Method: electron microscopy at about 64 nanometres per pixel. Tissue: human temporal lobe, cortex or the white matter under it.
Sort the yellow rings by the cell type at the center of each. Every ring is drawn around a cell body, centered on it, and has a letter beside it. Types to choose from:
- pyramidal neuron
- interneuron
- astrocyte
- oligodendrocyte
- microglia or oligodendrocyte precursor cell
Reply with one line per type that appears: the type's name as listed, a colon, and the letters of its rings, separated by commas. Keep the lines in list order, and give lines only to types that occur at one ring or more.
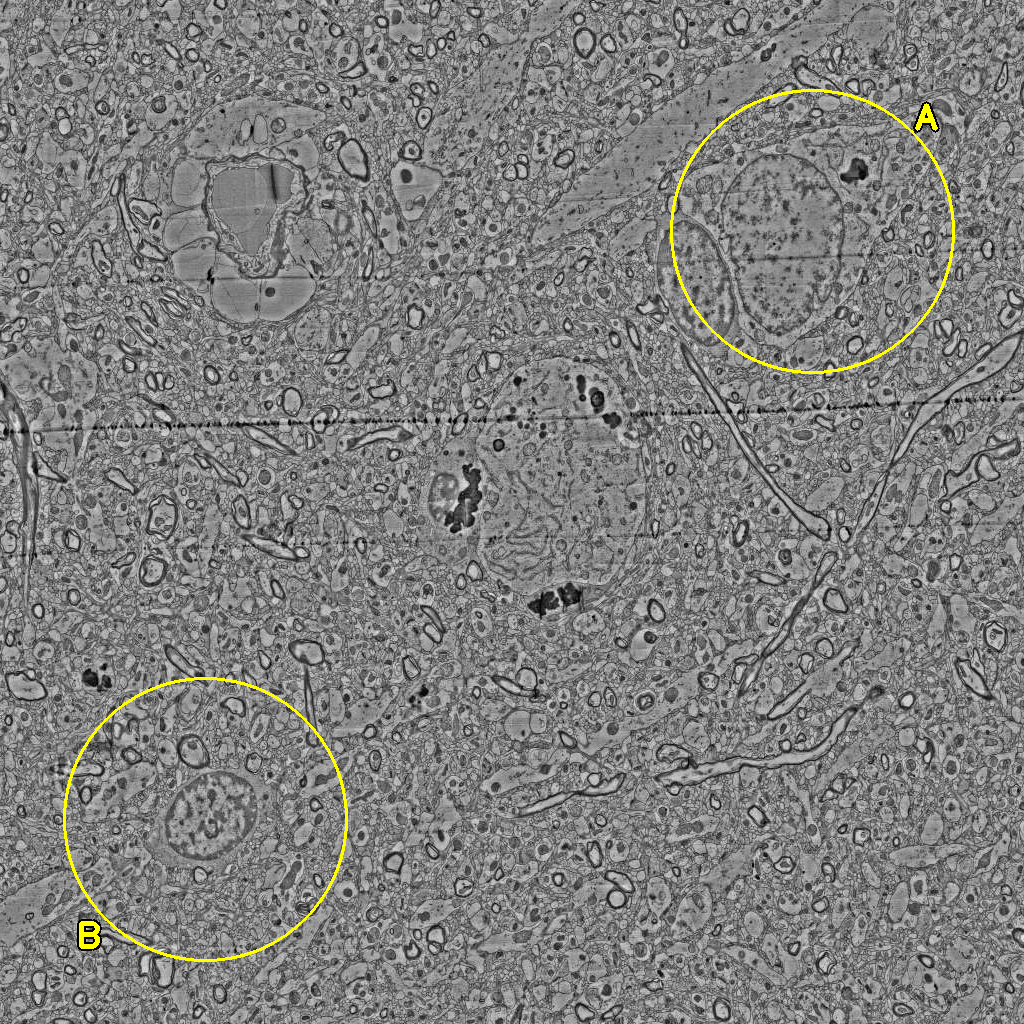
pyramidal neuron: A
oligodendrocyte: B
